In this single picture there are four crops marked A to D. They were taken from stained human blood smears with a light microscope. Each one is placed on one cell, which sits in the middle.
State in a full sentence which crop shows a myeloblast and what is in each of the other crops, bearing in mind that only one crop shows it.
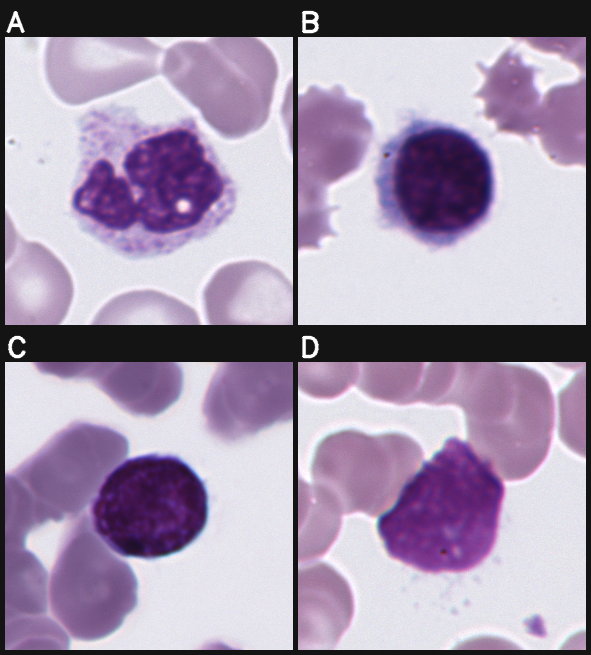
The middle of crop C holds a myeloblast, while crop A is a segmented neutrophil, crop B is a hairy cell and crop D is a smudge cell.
